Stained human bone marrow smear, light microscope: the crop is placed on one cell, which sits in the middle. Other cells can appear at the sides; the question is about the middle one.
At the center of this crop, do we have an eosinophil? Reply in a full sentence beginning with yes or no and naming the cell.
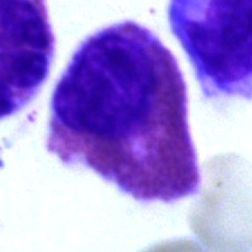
Yes, the cell placed centrally within the crop is an eosinophil.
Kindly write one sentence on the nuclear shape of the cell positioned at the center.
A single compact nucleus is present, shaped round, oval or like a kidney.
